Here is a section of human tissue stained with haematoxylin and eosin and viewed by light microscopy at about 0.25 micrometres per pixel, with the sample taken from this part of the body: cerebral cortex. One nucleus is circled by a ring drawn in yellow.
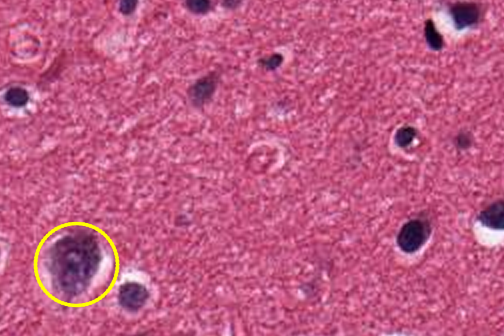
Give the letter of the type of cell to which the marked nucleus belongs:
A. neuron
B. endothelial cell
A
